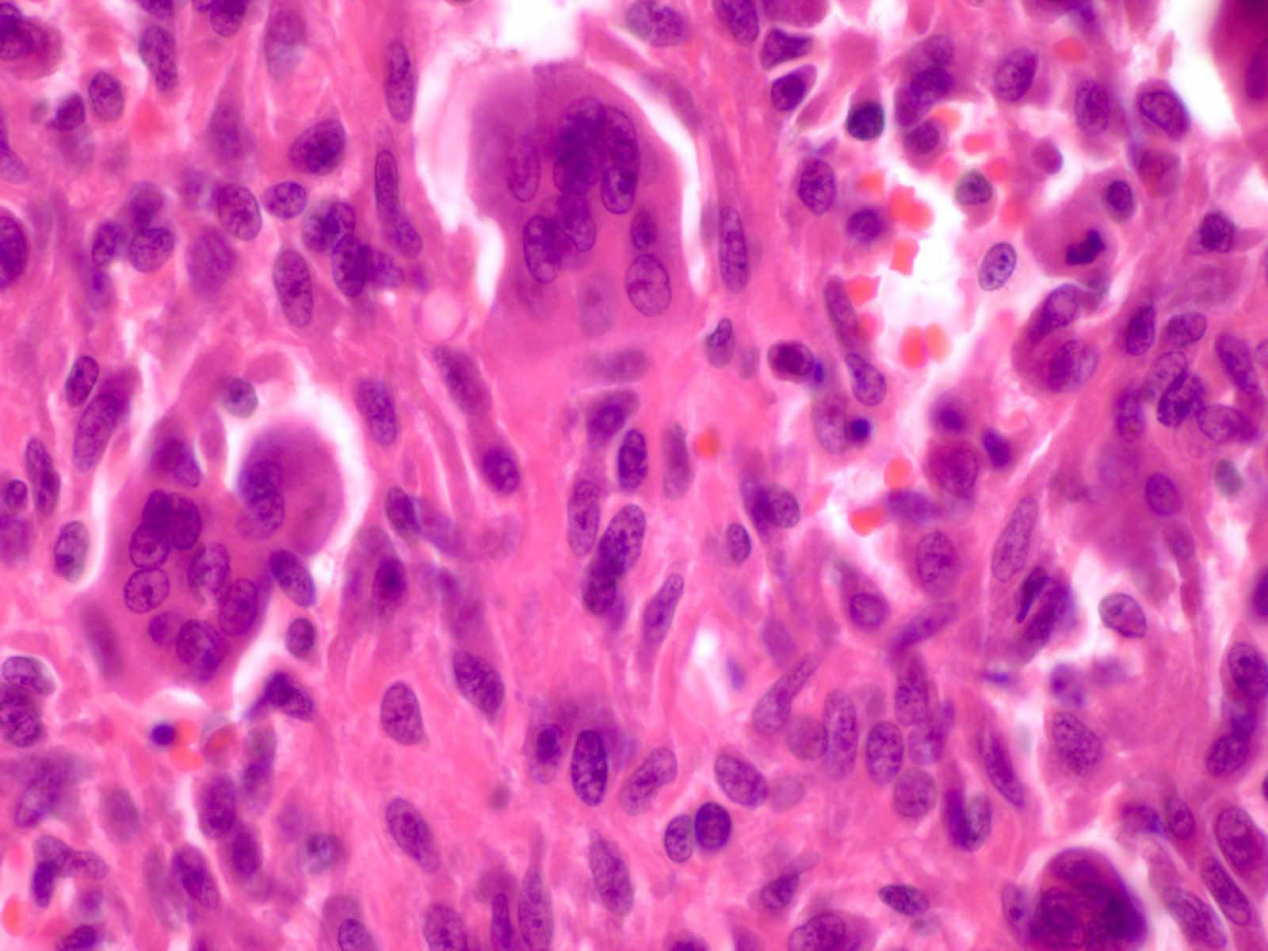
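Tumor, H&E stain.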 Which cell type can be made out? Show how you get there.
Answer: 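Multinucleated giant cells. Several large cells with abundant pink cytoplasm. Each large cell holds many clustered oval nuclei.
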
